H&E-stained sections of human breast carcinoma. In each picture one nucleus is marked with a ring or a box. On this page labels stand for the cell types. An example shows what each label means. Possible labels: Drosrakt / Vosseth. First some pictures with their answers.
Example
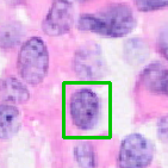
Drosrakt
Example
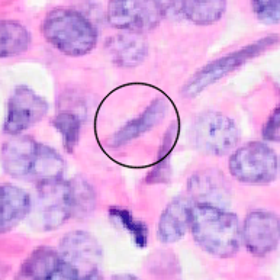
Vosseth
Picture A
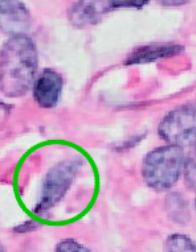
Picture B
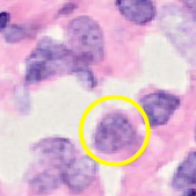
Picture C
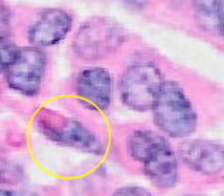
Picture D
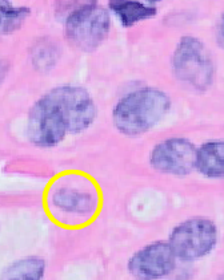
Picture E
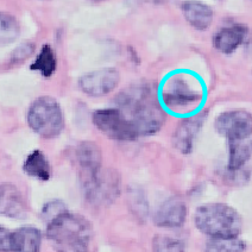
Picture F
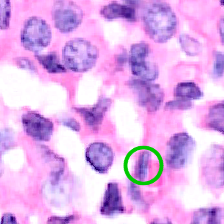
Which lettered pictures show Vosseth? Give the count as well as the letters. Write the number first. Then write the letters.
5: A, C, D, E, F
